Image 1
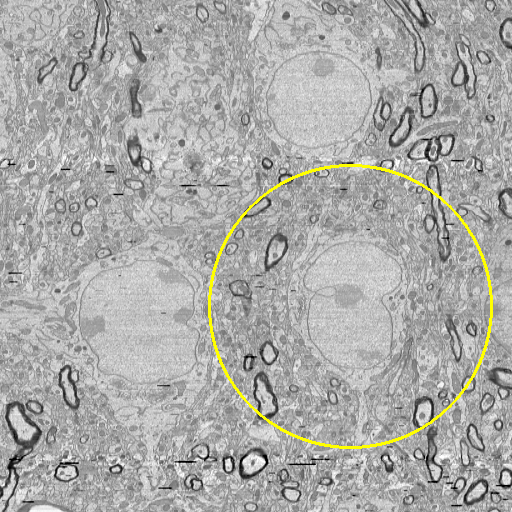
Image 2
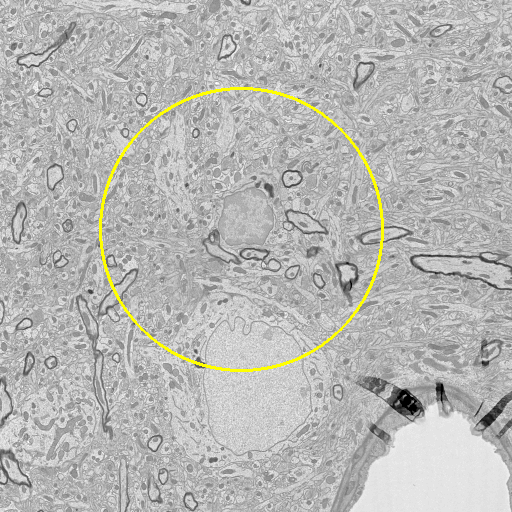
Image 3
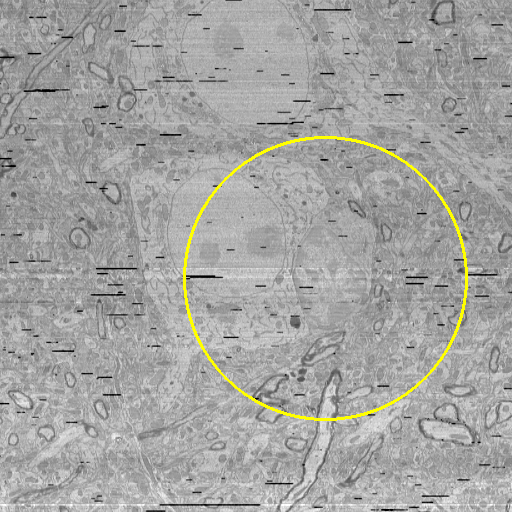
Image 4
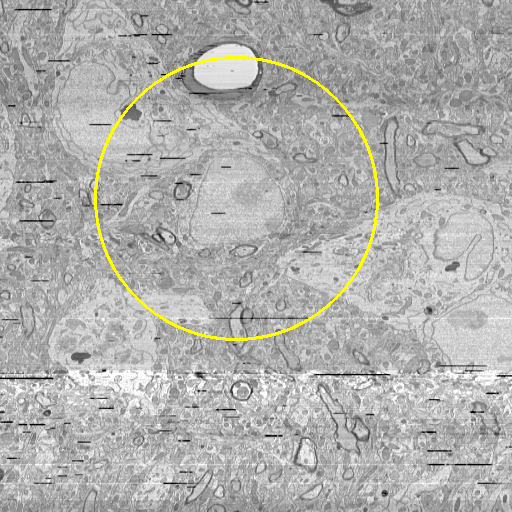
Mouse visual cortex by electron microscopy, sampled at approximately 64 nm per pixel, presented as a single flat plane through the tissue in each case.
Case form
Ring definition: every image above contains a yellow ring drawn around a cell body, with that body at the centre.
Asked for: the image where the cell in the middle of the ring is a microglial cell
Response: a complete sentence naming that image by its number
Image 2 is the one.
